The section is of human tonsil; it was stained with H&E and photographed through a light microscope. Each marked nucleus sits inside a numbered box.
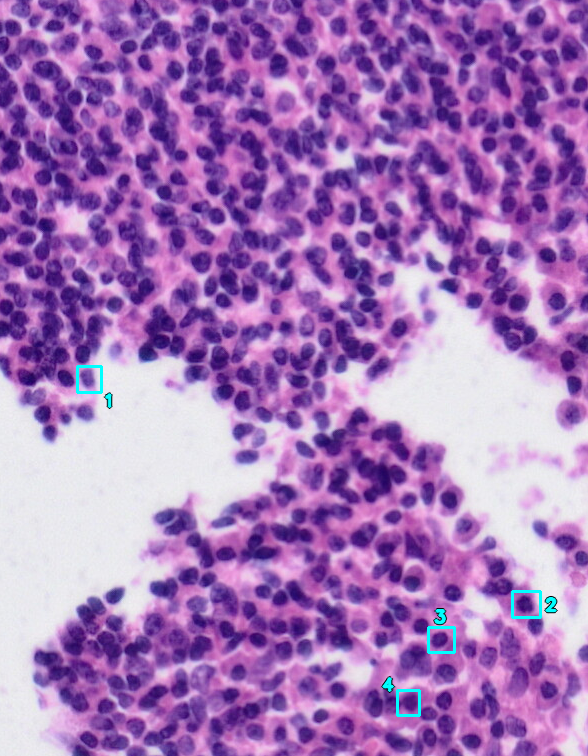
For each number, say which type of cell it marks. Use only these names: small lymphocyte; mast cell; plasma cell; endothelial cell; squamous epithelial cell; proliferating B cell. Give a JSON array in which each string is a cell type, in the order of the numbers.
["small lymphocyte", "plasma cell", "plasma cell", "plasma cell"]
